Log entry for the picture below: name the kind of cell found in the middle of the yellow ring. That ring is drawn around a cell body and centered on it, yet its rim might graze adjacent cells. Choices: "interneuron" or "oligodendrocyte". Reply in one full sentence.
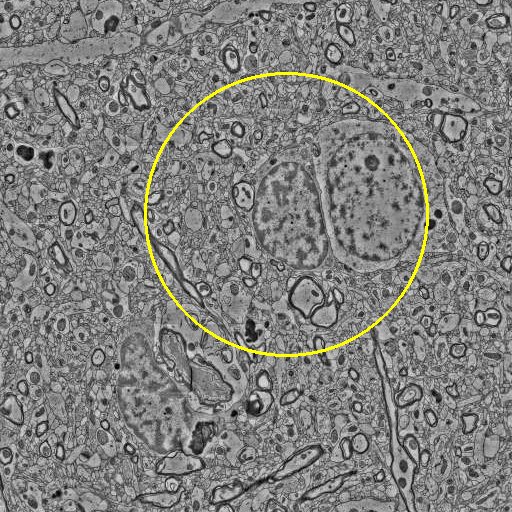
The cell in the middle of the yellow ring in this picture is an oligodendrocyte.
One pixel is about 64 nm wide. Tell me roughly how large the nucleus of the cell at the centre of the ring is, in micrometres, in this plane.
The nucleus comes to approximately 7 by 4 micrometres and is clearly longer than it is wide in this plane.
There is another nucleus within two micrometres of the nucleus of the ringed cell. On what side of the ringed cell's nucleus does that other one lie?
The other nucleus sits to the upper right of it.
